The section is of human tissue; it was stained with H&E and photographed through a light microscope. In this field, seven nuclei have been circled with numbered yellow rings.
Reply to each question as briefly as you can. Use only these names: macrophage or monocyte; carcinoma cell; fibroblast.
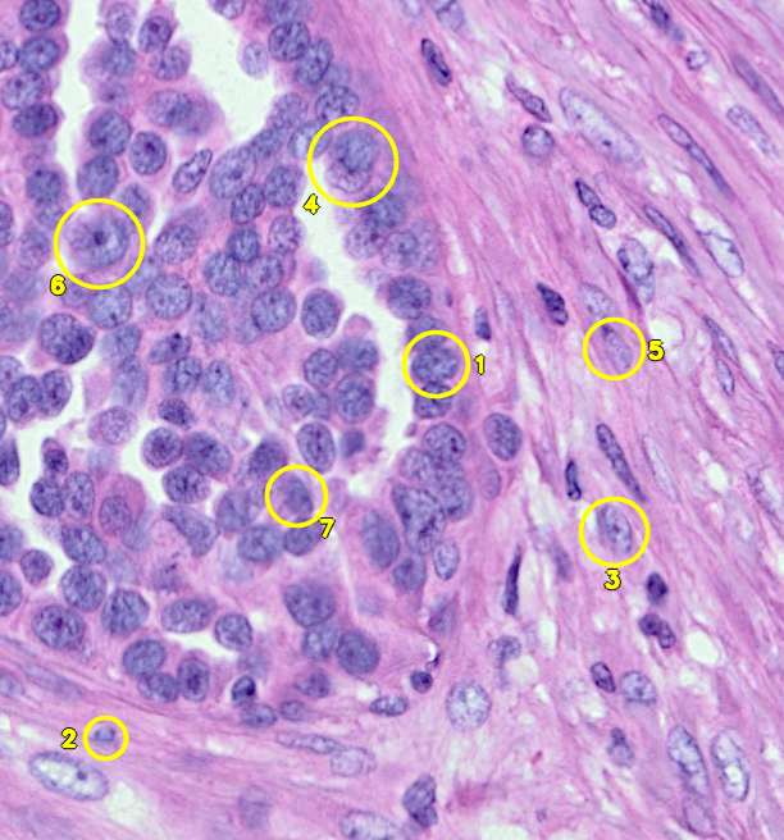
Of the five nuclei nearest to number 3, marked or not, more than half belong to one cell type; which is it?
macrophage or monocyte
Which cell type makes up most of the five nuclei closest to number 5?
fibroblast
